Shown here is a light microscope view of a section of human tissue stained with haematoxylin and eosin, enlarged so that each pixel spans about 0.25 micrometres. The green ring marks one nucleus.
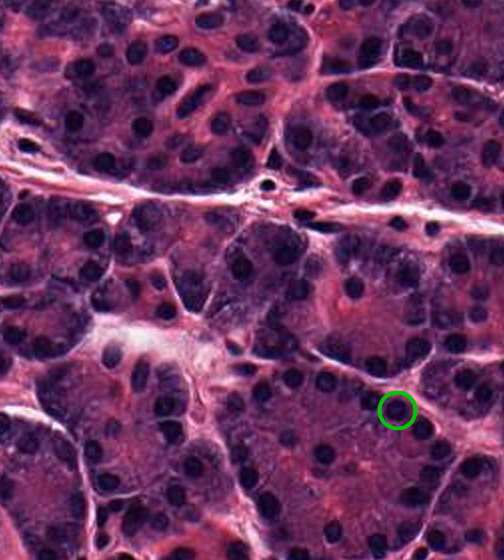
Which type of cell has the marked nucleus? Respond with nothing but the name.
pancreatic acinar cell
